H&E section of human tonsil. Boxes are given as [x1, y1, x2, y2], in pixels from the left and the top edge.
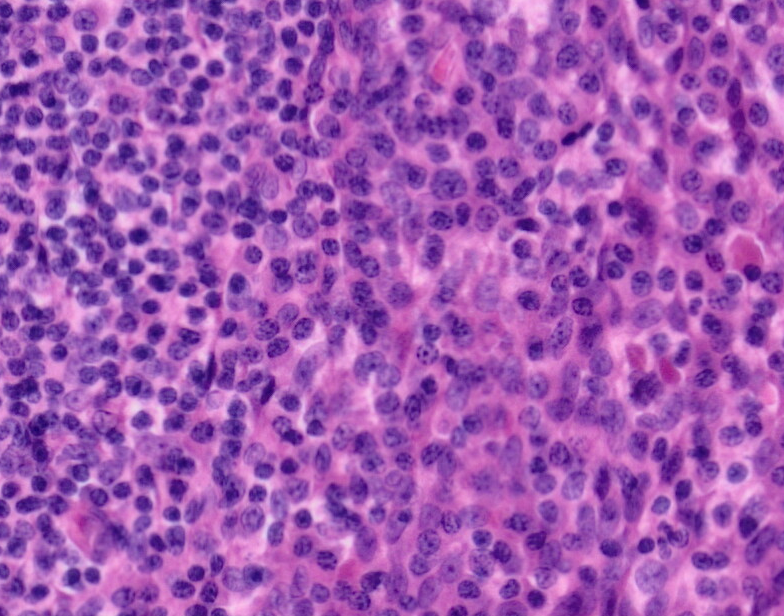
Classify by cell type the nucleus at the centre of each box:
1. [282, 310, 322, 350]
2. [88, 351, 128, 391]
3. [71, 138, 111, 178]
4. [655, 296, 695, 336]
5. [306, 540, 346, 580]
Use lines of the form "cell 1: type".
cell 1: plasma cell
cell 2: small lymphocyte
cell 3: small lymphocyte
cell 4: squamous epithelial cell
cell 5: plasma cell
